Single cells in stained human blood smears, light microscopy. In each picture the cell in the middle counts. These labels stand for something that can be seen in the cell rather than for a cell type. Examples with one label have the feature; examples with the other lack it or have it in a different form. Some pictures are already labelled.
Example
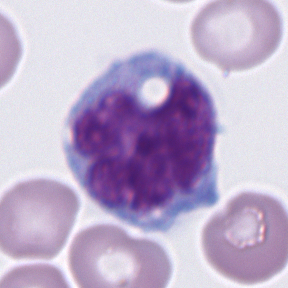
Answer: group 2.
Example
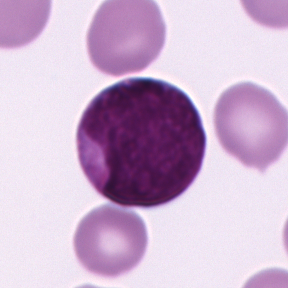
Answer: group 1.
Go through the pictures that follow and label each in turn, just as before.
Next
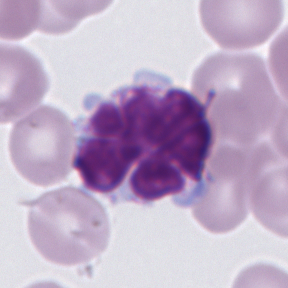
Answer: group 2.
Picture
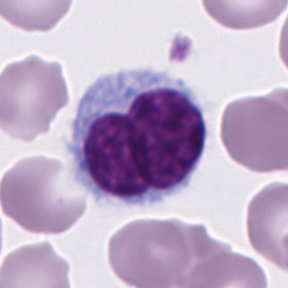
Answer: group 2.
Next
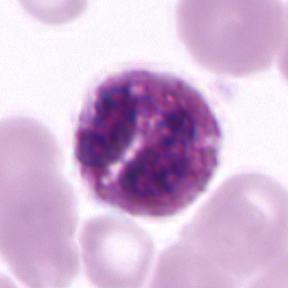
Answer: group 2.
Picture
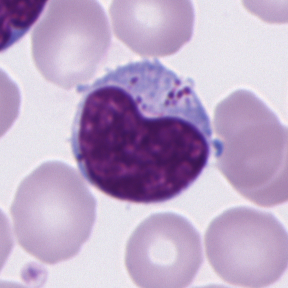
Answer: group 1.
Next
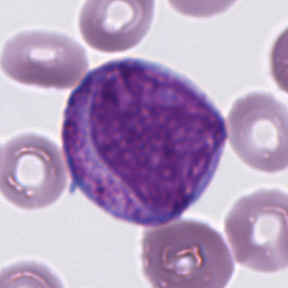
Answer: group 1.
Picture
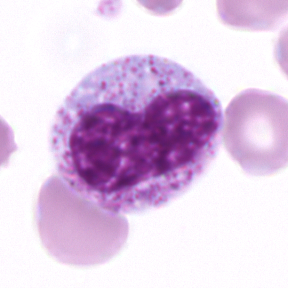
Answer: group 2.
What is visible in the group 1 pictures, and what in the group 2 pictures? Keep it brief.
group 1, single compact nucleus; group 2, lobed nucleus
